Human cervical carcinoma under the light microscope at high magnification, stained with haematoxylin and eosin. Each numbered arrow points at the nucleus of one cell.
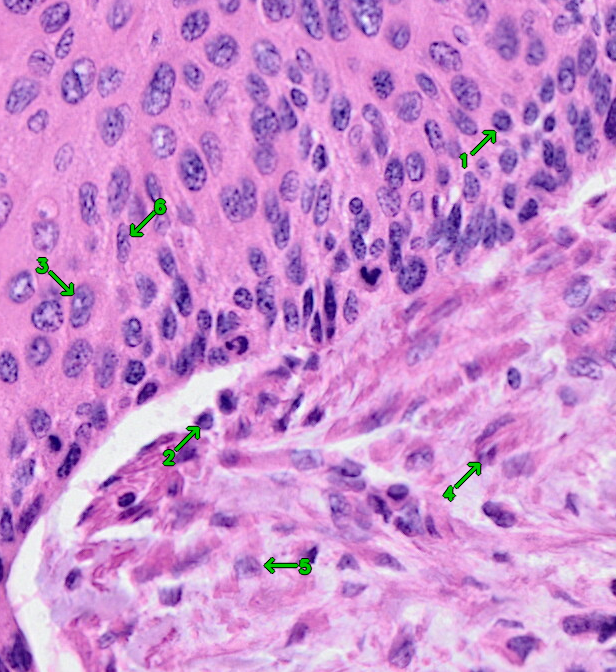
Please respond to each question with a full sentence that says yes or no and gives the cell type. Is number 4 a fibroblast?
Yes, the cell carrying number 4 is a fibroblast.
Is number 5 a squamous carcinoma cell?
No, cell 5 is to be classed as a fibroblast, not a squamous carcinoma cell.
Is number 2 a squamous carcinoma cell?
No, sorry, the cell labelled 2 is not a squamous carcinoma cell; it is a lymphocyte.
